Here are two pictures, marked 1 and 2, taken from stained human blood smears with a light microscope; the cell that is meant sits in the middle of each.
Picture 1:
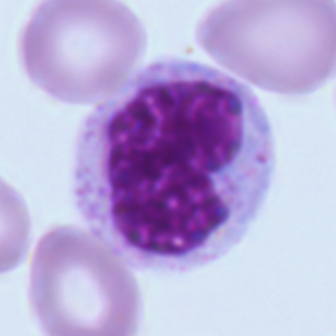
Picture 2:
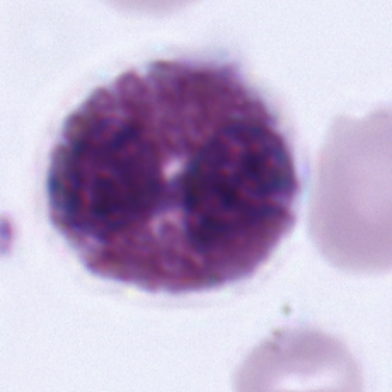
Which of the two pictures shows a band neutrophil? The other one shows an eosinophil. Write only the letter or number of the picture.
1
